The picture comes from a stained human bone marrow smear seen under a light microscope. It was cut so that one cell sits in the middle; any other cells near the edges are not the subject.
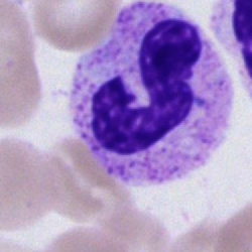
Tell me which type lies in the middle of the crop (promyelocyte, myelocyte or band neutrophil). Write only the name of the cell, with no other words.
band neutrophil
